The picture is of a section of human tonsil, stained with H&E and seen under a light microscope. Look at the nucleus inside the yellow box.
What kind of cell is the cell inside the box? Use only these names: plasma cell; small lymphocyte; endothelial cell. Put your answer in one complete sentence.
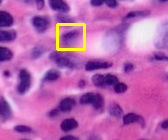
It is an endothelial cell that the cell inside the box represents.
